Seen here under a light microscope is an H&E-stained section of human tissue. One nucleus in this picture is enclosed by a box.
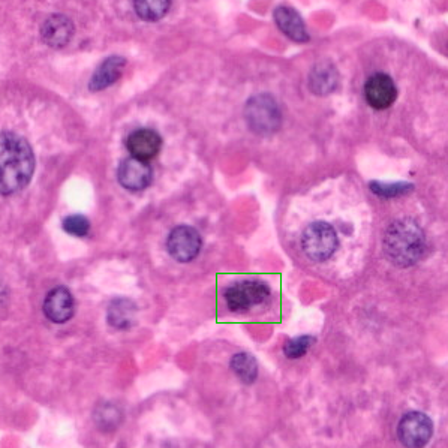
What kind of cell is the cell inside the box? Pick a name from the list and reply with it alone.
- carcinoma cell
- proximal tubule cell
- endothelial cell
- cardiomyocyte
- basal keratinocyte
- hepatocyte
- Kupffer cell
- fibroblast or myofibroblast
Kupffer cell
